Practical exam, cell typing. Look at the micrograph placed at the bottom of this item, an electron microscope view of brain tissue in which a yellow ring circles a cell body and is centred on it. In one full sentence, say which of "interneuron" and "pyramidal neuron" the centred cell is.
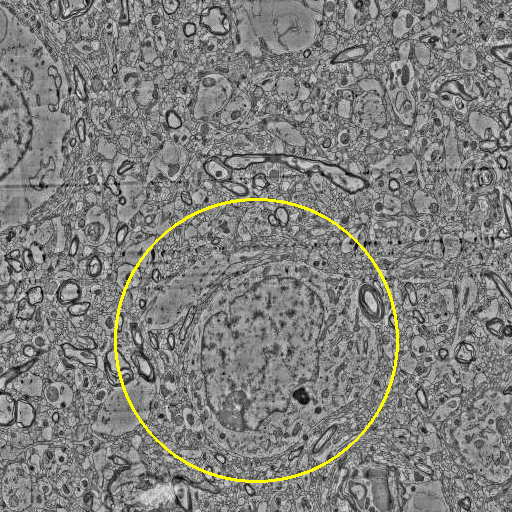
Given the options, an interneuron fits the cell whose body the yellow ring is centred on.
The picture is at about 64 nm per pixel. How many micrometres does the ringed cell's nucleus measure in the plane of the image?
About 10 by 8 micrometers, in this plane.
